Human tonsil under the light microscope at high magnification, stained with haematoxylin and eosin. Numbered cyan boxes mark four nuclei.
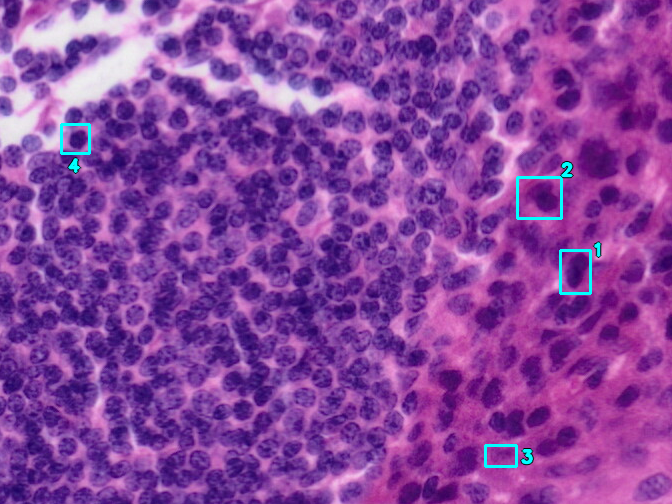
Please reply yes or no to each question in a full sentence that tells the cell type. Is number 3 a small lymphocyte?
No, at number 3 sits a squamous epithelial cell, not a small lymphocyte.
